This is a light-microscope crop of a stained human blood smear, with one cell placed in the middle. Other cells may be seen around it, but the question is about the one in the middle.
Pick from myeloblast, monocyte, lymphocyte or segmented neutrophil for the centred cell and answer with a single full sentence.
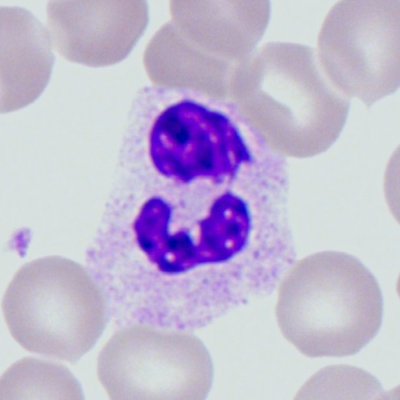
In short, the cell at the center is a segmented neutrophil.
